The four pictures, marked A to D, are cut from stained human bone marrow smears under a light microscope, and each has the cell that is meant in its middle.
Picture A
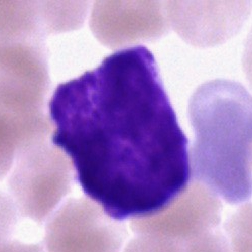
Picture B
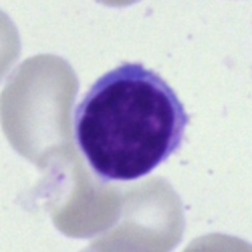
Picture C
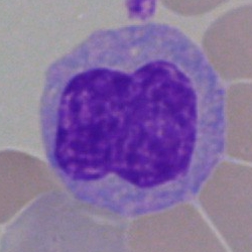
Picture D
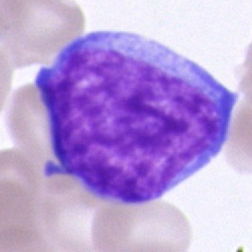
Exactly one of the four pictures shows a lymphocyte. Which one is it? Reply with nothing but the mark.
B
